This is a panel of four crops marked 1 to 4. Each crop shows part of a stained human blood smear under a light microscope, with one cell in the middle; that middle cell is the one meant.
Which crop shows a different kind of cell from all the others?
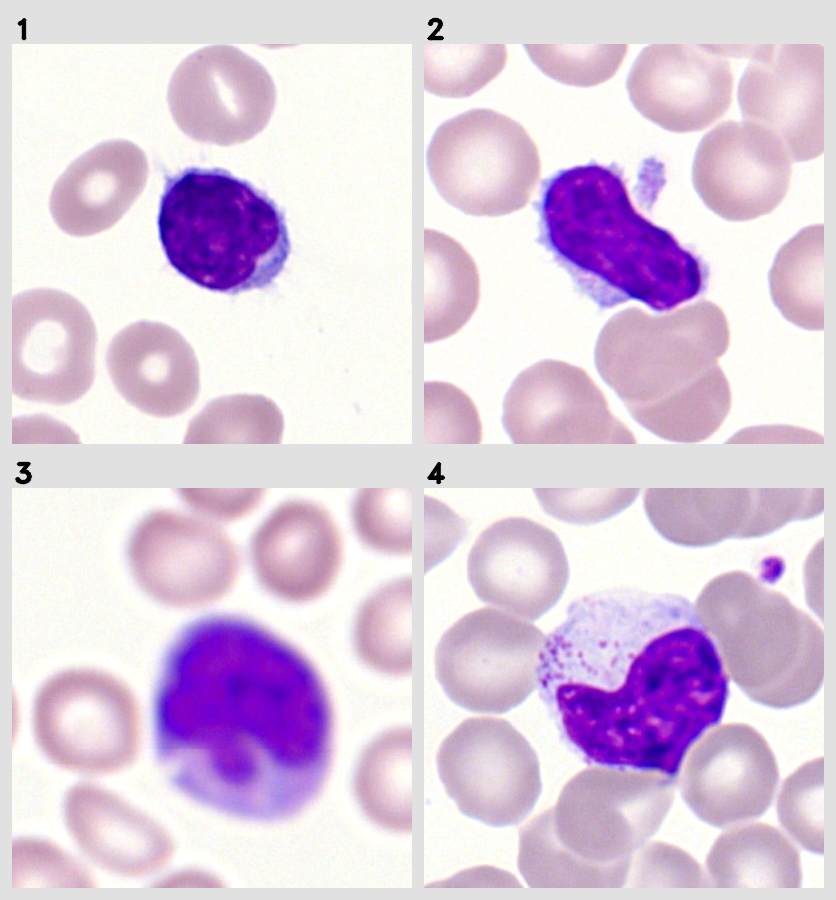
3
